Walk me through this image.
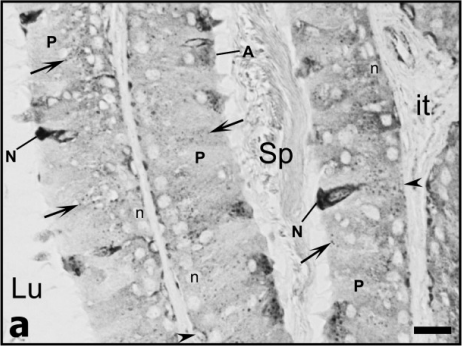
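This is the tall columnar epithelium of the epididymal initial segment, made mostly of principal cells with round pale nuclei in a row near the base. Their cytoplasm is lightly stained and holds small, dark, spherical dots scattered above the nuclei. Among them, slender darkly stained narrow cells reach toward the lumen, and small flattened stained cells lie at the base. Masses of spermatozoa fill the lumen between the epithelial folds, and thin interstitial tissue separates the tubules.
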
